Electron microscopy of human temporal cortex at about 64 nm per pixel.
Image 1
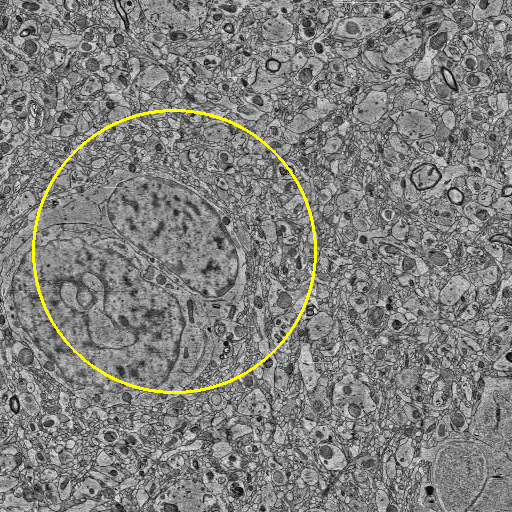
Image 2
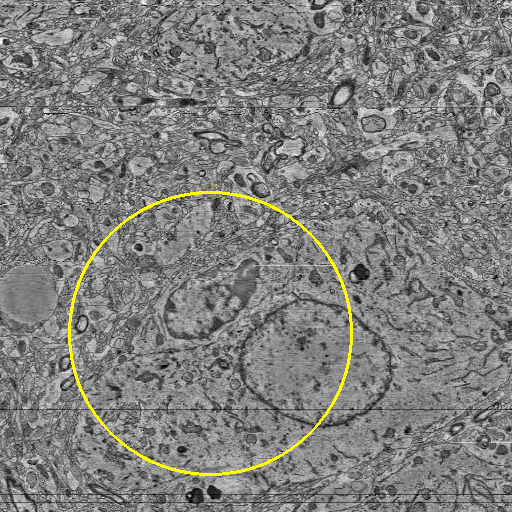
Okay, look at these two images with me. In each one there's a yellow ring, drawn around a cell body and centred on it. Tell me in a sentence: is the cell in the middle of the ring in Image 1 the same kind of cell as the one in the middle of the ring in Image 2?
Yes, they're the same kind of cell.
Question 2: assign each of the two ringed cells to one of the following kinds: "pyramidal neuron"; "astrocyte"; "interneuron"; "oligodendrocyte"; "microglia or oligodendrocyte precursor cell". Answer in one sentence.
In each picture the ringed cell is a microglial cell or oligodendrocyte precursor cell.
